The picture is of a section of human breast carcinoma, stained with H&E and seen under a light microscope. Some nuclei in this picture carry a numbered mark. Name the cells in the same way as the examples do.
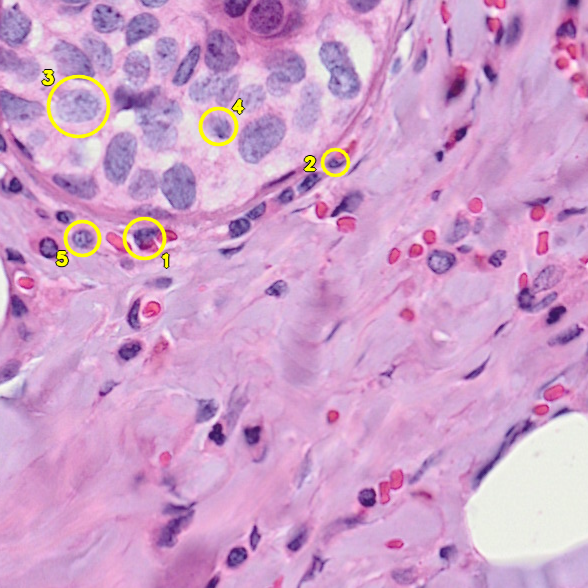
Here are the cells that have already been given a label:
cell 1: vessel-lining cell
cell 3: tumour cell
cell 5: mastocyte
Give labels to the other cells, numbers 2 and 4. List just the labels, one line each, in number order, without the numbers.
vessel-lining cell
tumour cell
